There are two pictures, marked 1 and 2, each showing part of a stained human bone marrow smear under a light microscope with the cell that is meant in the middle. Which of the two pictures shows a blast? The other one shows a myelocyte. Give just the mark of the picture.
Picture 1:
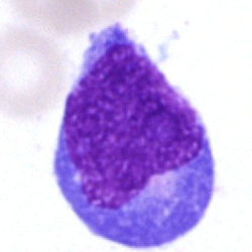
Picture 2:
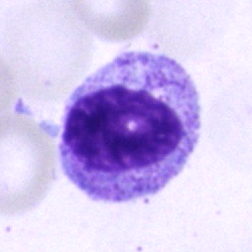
1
